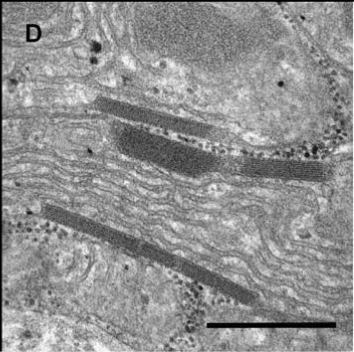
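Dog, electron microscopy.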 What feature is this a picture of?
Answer: Paracrystalline inclusions.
